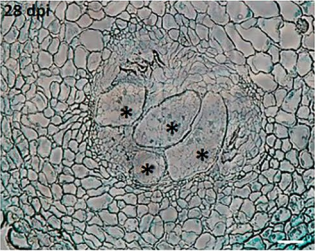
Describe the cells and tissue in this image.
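This cross-section of a root shows a cluster of giant cells at its center. Four to five enlarged, rounded cells lie pressed against one another, each much larger than the small cells around them. Their contents look pale and finely granular. The surrounding tissue is made of smaller, polygonal cells arranged in a ring around the cluster. Little blue colour is visible in this section.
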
